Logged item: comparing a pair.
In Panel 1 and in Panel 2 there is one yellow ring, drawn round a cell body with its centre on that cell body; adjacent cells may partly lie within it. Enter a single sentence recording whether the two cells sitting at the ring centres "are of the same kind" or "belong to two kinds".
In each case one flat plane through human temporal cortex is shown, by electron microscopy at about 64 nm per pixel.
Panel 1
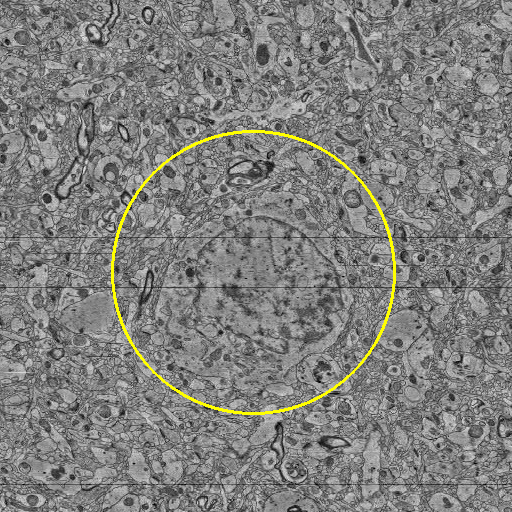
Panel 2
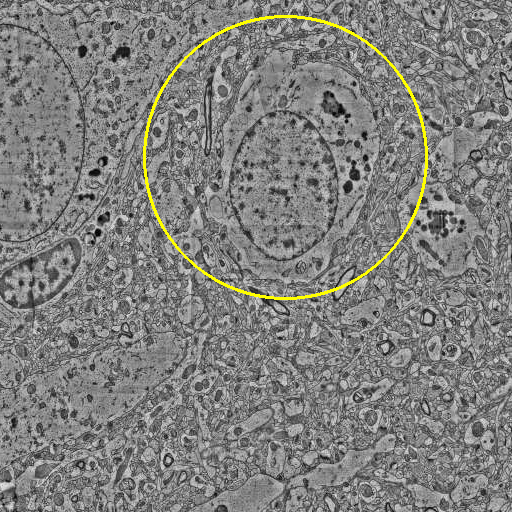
Logged: the cells centred in the rings of Panel 1 and Panel 2 belong to two kinds.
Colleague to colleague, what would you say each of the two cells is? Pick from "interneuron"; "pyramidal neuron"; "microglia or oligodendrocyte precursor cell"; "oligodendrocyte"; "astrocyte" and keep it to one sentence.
The cell in the first picture is an interneuron; the second picture's cell is an astrocyte.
